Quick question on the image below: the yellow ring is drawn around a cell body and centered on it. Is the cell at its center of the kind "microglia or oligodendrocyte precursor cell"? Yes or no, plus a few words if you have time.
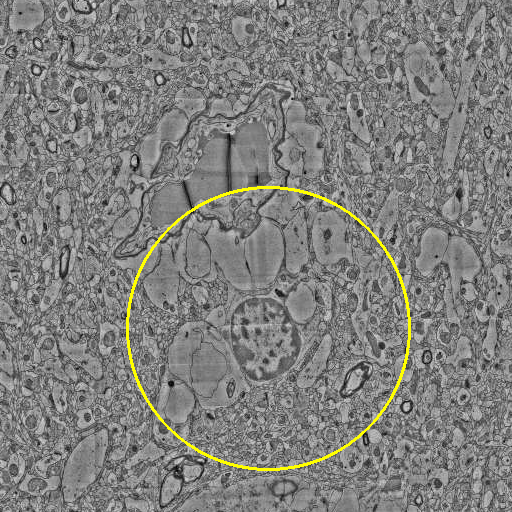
Yes, the cell at the center is of that kind.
